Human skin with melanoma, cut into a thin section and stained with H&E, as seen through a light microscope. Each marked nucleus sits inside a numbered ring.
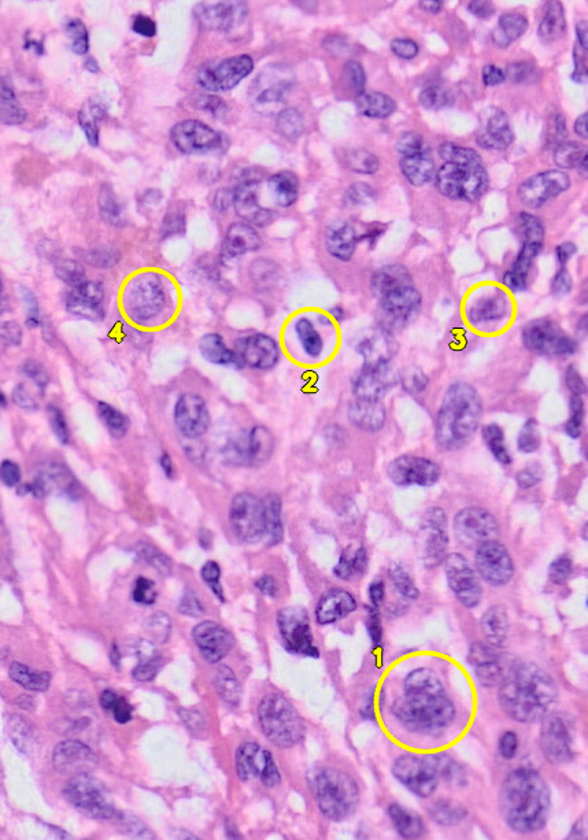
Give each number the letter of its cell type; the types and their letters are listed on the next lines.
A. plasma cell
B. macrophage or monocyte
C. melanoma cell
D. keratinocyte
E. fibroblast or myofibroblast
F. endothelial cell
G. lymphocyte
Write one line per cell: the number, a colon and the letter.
1: C
2: G
3: C
4: C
